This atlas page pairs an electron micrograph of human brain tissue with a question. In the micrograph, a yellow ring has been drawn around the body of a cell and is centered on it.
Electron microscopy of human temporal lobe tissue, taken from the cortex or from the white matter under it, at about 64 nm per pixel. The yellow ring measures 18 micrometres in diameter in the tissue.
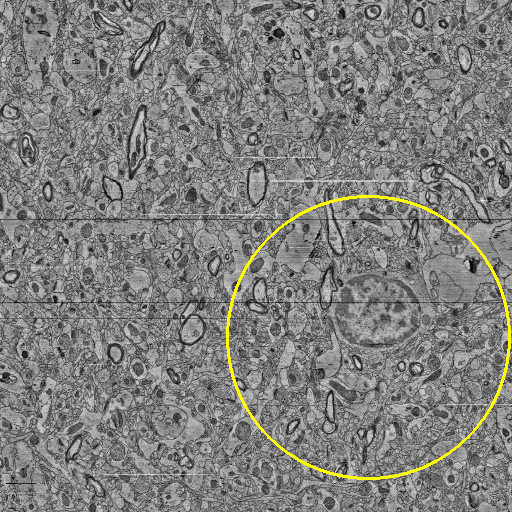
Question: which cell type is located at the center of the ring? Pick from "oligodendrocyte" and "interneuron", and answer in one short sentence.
Located at the center of the ring is an oligodendrocyte.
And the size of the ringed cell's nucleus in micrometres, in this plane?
In this plane, approximately 6 by 5 micrometers.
